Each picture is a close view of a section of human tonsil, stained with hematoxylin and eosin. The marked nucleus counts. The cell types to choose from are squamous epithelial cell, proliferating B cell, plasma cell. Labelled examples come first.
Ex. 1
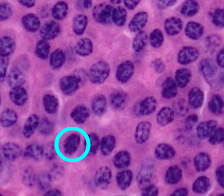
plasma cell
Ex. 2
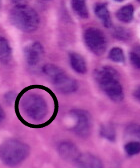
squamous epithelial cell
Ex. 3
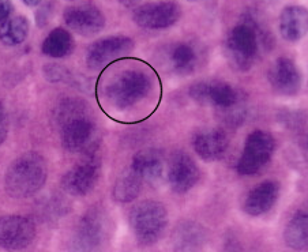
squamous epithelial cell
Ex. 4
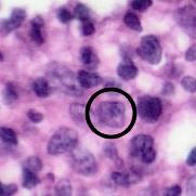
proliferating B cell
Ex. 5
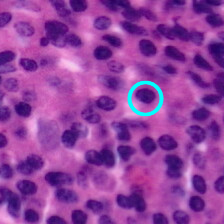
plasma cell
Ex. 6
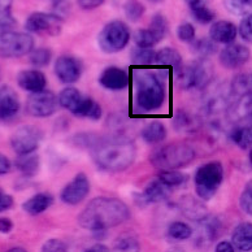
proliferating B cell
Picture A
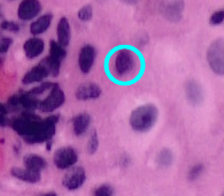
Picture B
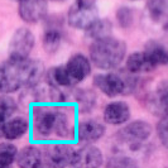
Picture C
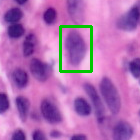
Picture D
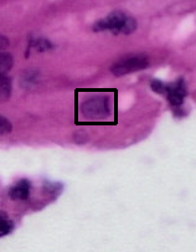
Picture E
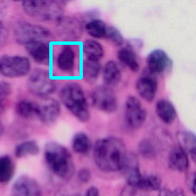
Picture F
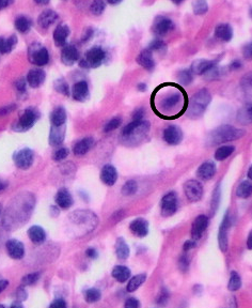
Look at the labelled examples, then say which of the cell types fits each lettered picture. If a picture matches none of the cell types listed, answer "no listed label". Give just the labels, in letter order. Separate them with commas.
squamous epithelial cell, proliferating B cell, no listed label, squamous epithelial cell, proliferating B cell, no listed label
